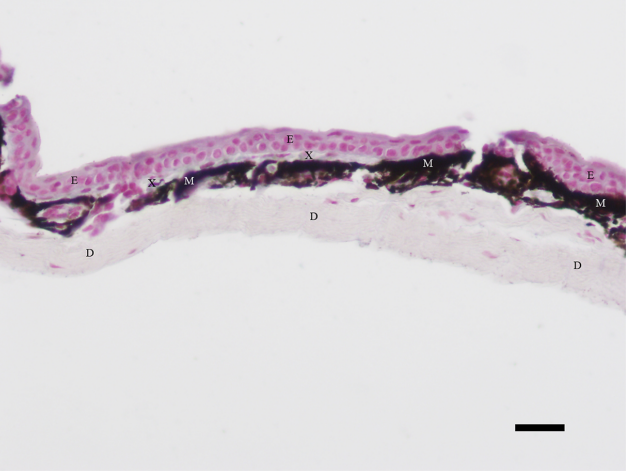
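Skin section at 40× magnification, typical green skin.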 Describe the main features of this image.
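A stratified layer of closely packed cells with rounded pink nuclei forms the surface, and just under it runs a thin zone of paler cells above a thick, nearly continuous band of black-brown pigment. Beneath the pigment lies a pale, sparsely nucleated fibrous layer. These are epidermis, xanthophores and melanophores above the dermis.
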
